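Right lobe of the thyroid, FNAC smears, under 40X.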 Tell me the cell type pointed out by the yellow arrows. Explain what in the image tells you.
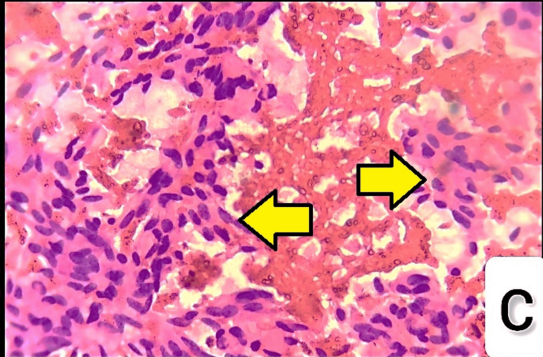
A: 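Many cells have elongated, cigar-shaped purple nuclei. The nuclei vary somewhat in size and shape. The cells lie in loose groups among red blood cells.
Answer: spindle cells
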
